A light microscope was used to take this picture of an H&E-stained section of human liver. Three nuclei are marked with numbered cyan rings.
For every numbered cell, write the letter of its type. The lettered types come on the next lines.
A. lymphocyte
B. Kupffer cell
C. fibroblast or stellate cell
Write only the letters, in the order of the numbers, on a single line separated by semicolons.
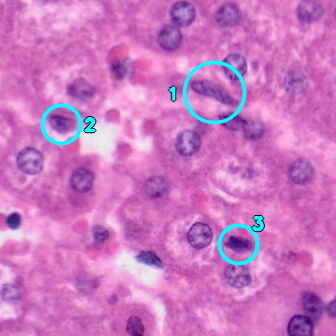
B; B; C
